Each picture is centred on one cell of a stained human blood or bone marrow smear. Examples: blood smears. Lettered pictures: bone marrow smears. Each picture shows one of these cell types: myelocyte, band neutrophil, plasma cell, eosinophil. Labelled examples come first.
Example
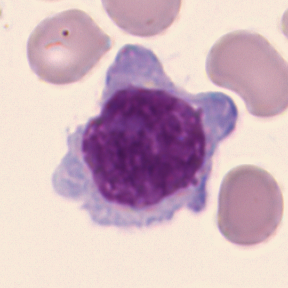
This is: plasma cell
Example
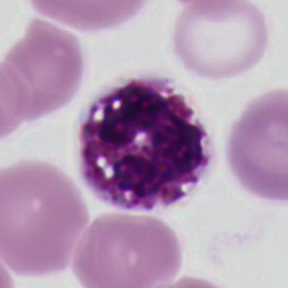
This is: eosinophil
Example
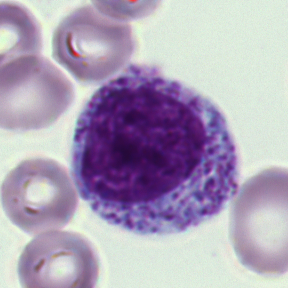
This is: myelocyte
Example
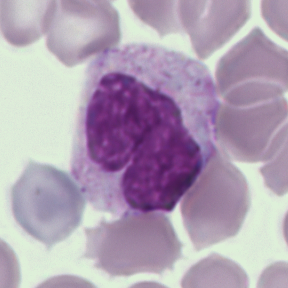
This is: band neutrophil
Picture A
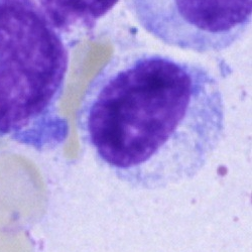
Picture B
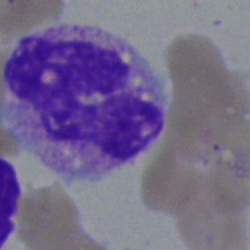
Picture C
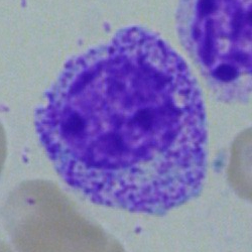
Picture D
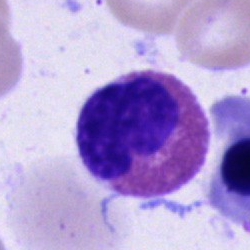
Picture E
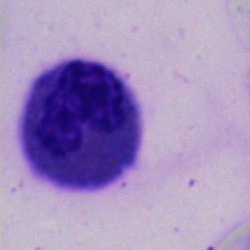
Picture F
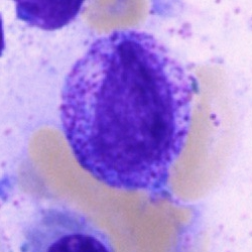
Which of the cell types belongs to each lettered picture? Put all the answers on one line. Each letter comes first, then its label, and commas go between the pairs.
A myelocyte, B band neutrophil, C myelocyte, D eosinophil, E eosinophil, F myelocyte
